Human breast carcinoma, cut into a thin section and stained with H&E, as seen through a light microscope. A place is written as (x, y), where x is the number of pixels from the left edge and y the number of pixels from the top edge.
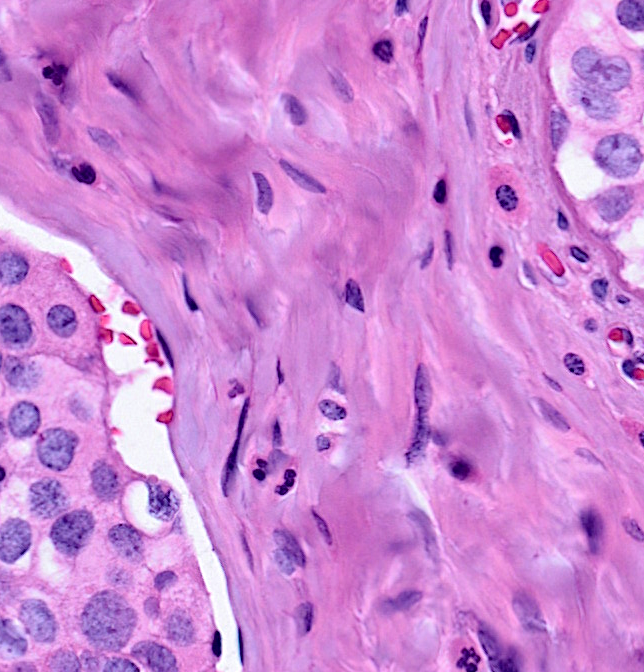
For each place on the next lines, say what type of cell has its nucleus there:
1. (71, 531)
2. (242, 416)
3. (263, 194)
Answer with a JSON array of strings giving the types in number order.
["carcinoma cell", "fibroblast", "fibroblast"]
